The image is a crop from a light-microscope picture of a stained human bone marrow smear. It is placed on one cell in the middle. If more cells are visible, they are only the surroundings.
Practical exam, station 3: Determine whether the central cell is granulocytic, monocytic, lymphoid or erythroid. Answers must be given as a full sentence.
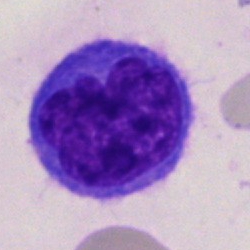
The middle cell is a constituent of the monocytic lineage.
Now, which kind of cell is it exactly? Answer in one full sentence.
The cell in the exact centre of the crop is a monocyte.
